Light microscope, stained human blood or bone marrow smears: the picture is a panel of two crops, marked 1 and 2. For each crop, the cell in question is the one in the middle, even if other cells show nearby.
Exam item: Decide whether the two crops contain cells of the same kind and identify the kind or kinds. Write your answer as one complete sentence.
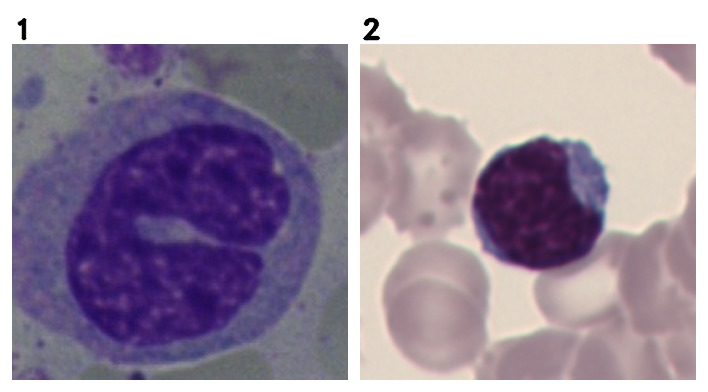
No, crop 1 features a monocyte, while crop 2 features a lymphocyte.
